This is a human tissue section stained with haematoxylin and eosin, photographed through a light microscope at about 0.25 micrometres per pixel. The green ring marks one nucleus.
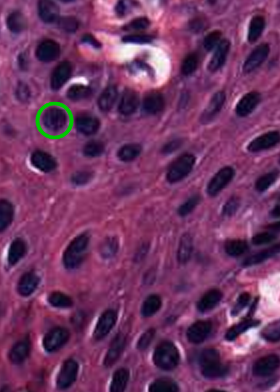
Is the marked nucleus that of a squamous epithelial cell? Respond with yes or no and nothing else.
yes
